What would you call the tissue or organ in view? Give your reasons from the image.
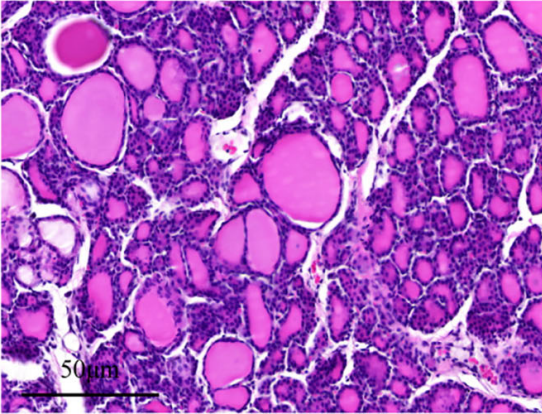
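Many follicles of varied size containing homogeneous pink material. Follicles are lined by cells with dark purple nuclei. Pale connective tissue septa divide the tissue. On this evidence: thyroid glands.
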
